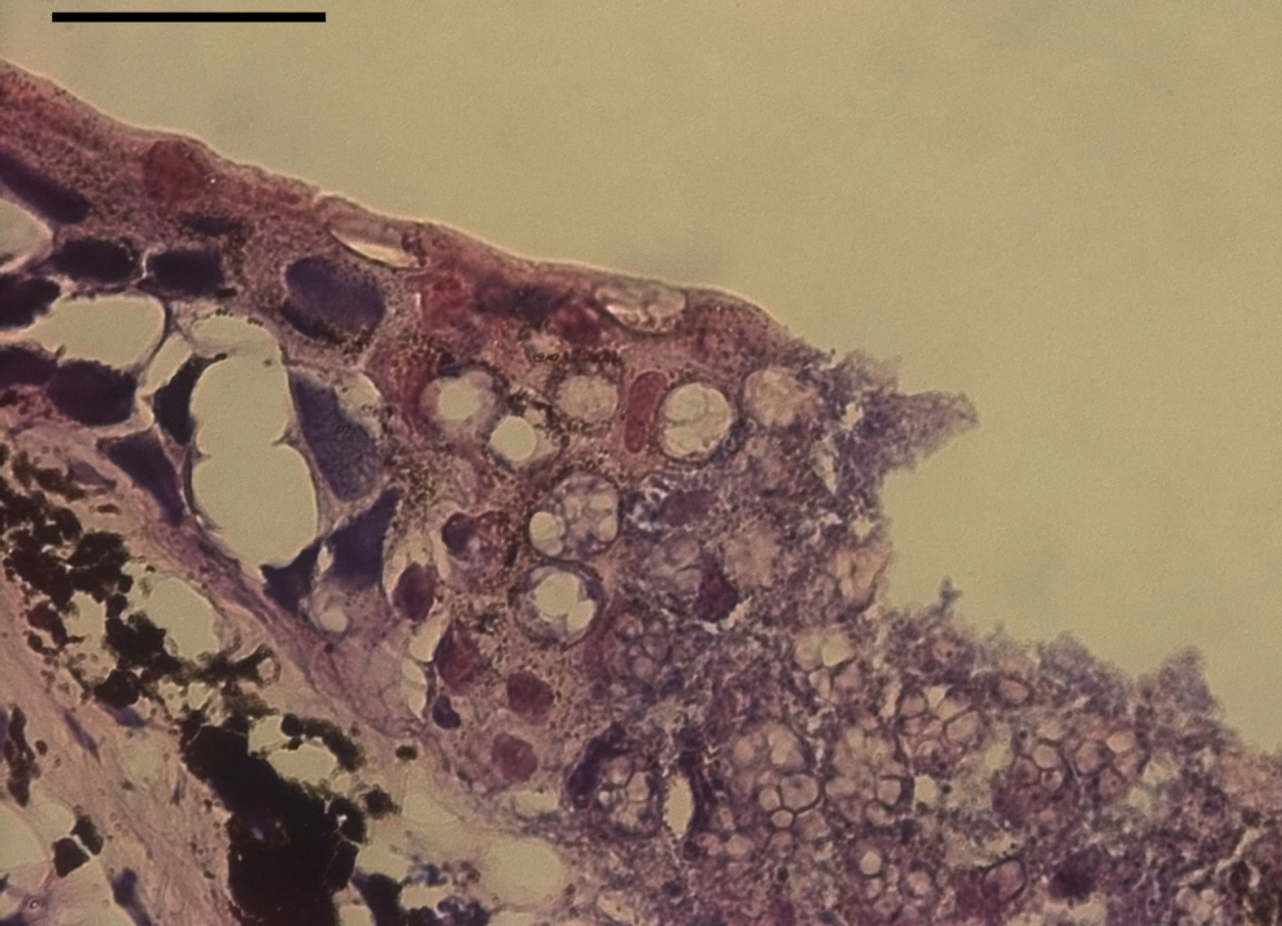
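This section of amphibian skin shows an epidermis that has lost its orderly layered structure. Over much of its width, the epidermis is packed with many small, round, clear-walled bodies. Many of these are divided internally by thin walls into clusters of smaller chambers. Between them the tissue is pale purple, granular and disorganized. On the right, the surface is ragged and frayed instead of forming a continuous smooth layer. Toward the left, the surface is more intact and pinker. At the lower left lie dense clumps of black pigment.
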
